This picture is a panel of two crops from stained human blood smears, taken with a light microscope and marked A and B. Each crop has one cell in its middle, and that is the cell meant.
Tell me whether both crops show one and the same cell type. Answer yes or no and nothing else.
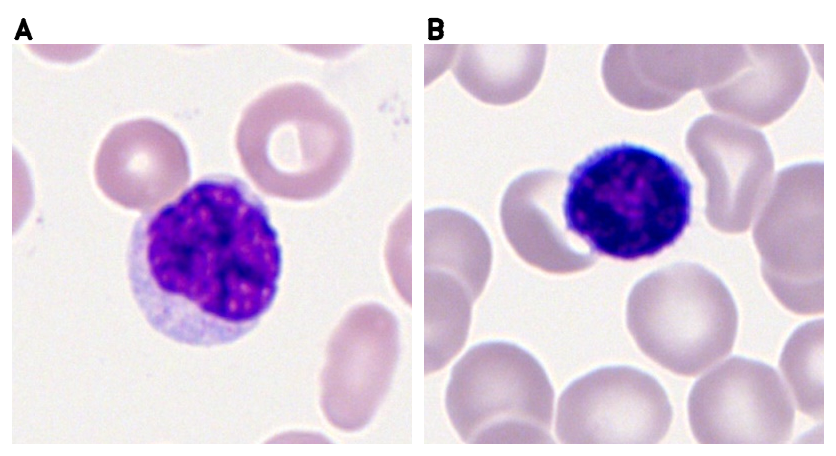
yes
